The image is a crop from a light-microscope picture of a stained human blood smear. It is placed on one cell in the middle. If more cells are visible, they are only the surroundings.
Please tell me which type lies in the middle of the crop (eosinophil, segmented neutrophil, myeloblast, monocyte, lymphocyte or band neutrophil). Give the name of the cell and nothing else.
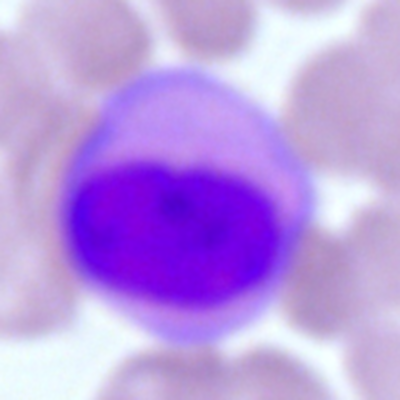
myeloblast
